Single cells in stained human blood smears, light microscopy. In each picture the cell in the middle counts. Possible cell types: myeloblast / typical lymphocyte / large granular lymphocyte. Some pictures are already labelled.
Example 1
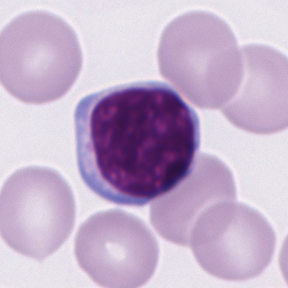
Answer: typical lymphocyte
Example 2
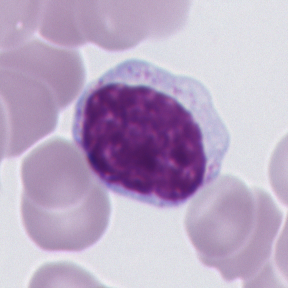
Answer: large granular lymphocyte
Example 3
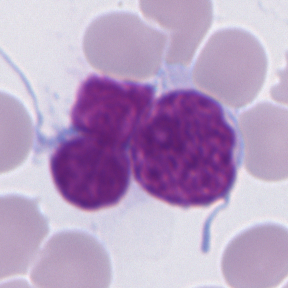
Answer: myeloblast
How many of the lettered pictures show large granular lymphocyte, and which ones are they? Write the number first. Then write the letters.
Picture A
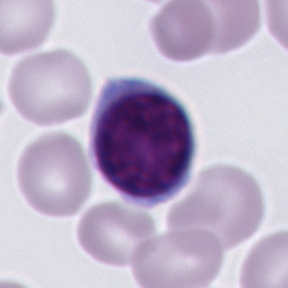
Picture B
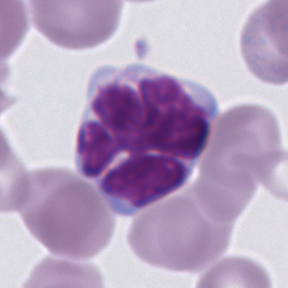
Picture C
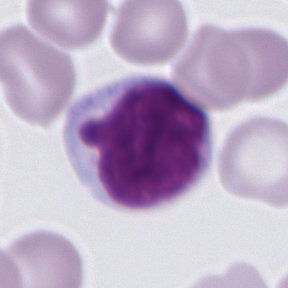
Count: 2 (B, C)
